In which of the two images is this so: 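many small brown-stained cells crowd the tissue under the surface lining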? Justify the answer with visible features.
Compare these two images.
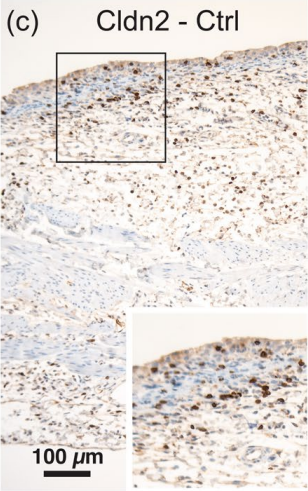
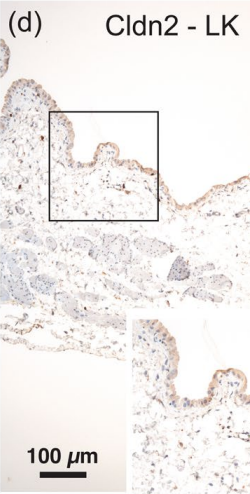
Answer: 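Second image: only a few scattered brown cells lie beneath the surface lining. First image: dense brown cells fill the loose tissue beneath the surface lining, as seen in the inset.
The first image.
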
